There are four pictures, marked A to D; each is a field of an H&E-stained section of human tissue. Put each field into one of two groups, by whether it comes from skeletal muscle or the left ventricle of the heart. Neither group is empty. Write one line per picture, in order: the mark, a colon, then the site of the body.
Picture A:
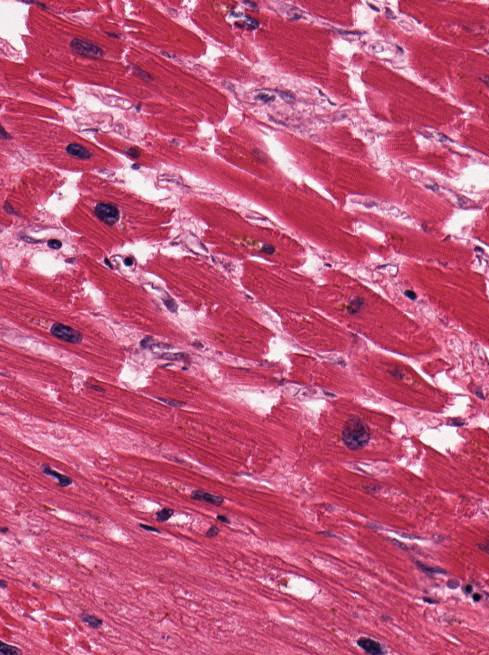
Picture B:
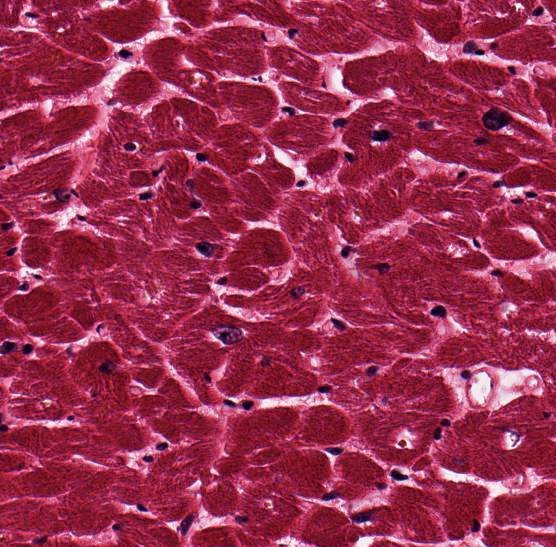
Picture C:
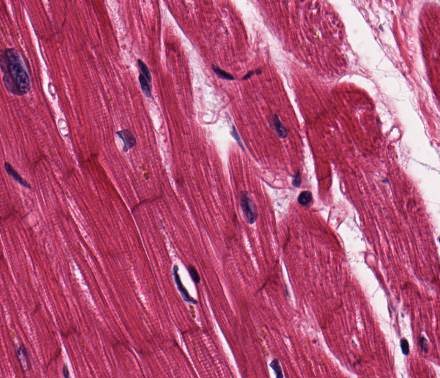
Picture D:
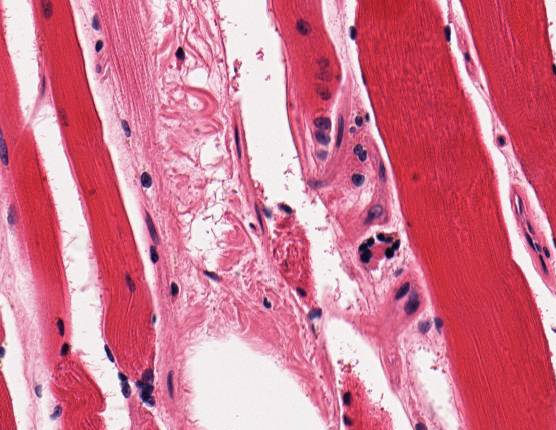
A: left ventricle of the heart
B: left ventricle of the heart
C: left ventricle of the heart
D: skeletal muscle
